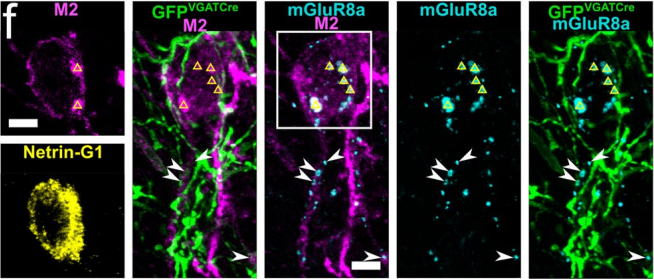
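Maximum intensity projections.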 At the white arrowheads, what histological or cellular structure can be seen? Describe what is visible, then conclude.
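The arrowheads point to beaded swellings on thin green fibres. These swellings lie along the magenta dendrite. Cyan puncta coincide with some of the green swellings.
Hence: input terminals.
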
